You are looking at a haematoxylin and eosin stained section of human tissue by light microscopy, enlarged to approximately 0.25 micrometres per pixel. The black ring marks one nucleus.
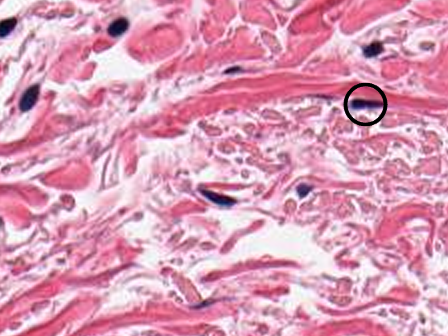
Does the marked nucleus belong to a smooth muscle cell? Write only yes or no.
no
